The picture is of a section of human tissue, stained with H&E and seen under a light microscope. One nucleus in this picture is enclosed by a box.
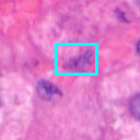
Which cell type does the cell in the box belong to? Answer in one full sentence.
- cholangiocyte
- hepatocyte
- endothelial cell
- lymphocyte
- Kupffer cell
What the cell in the box represents is an endothelial cell.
